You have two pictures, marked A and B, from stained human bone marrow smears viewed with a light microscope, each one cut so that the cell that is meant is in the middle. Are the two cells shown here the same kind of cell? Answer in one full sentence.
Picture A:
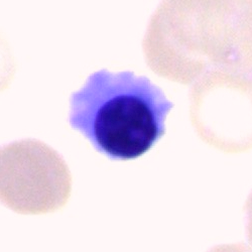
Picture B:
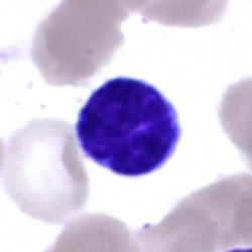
No. Picture A shows an erythroblast, but picture B shows a lymphocyte.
